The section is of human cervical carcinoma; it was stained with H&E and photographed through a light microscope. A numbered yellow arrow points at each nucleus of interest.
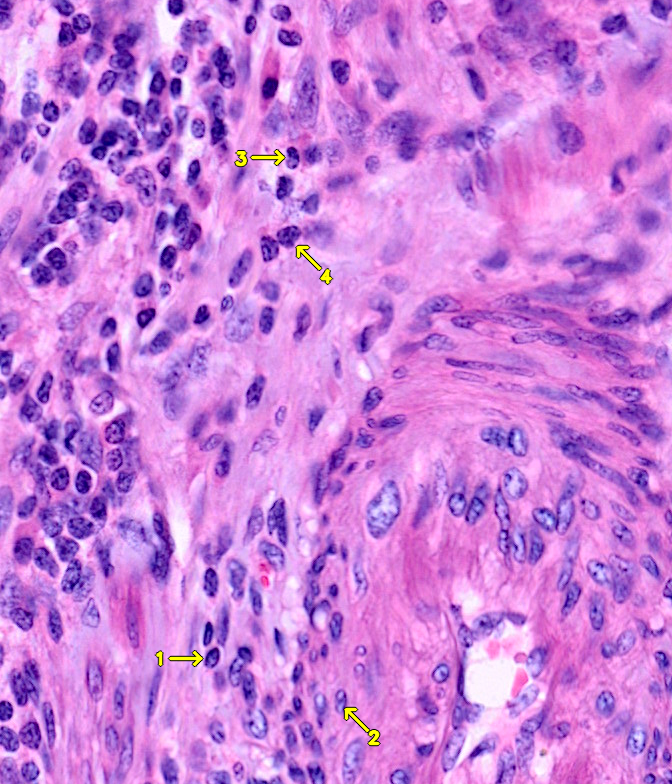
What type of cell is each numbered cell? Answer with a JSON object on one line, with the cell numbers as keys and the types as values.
{"1": "lymphocyte", "2": "smooth muscle cell", "3": "lymphocyte", "4": "lymphocyte"}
